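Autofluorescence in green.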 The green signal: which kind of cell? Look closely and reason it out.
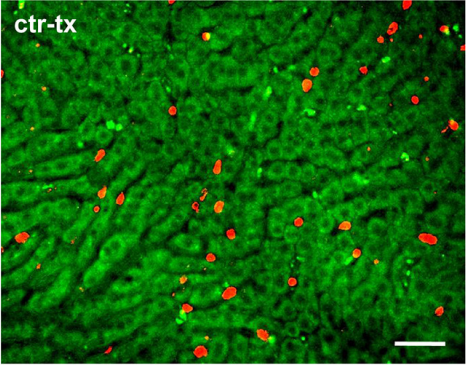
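Hepatocytes. Cells lie in branching cords.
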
